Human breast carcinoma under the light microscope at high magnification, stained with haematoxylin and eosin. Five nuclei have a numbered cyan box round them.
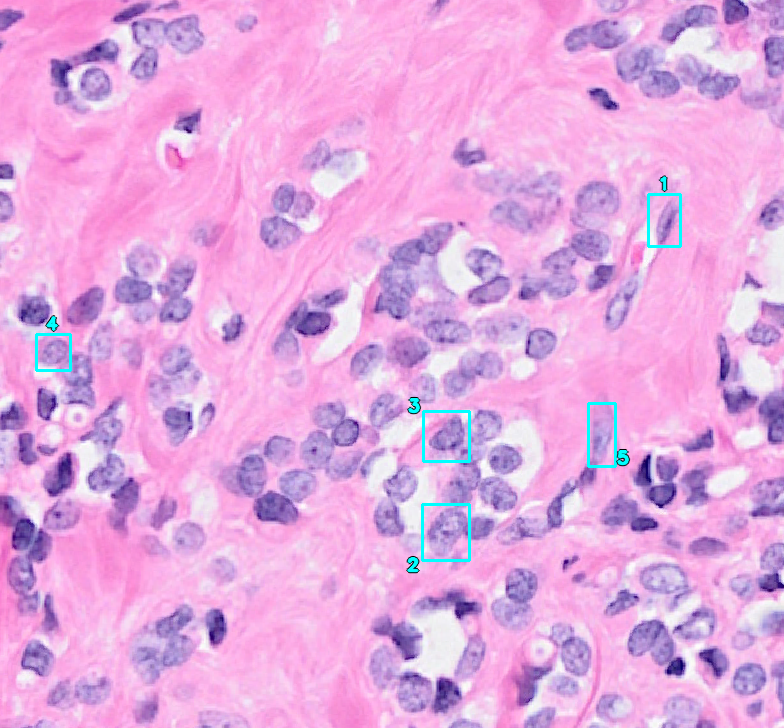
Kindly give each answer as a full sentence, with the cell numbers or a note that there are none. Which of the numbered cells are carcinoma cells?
The cells carrying the numbers 2, 3 and 4 are carcinoma cells.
